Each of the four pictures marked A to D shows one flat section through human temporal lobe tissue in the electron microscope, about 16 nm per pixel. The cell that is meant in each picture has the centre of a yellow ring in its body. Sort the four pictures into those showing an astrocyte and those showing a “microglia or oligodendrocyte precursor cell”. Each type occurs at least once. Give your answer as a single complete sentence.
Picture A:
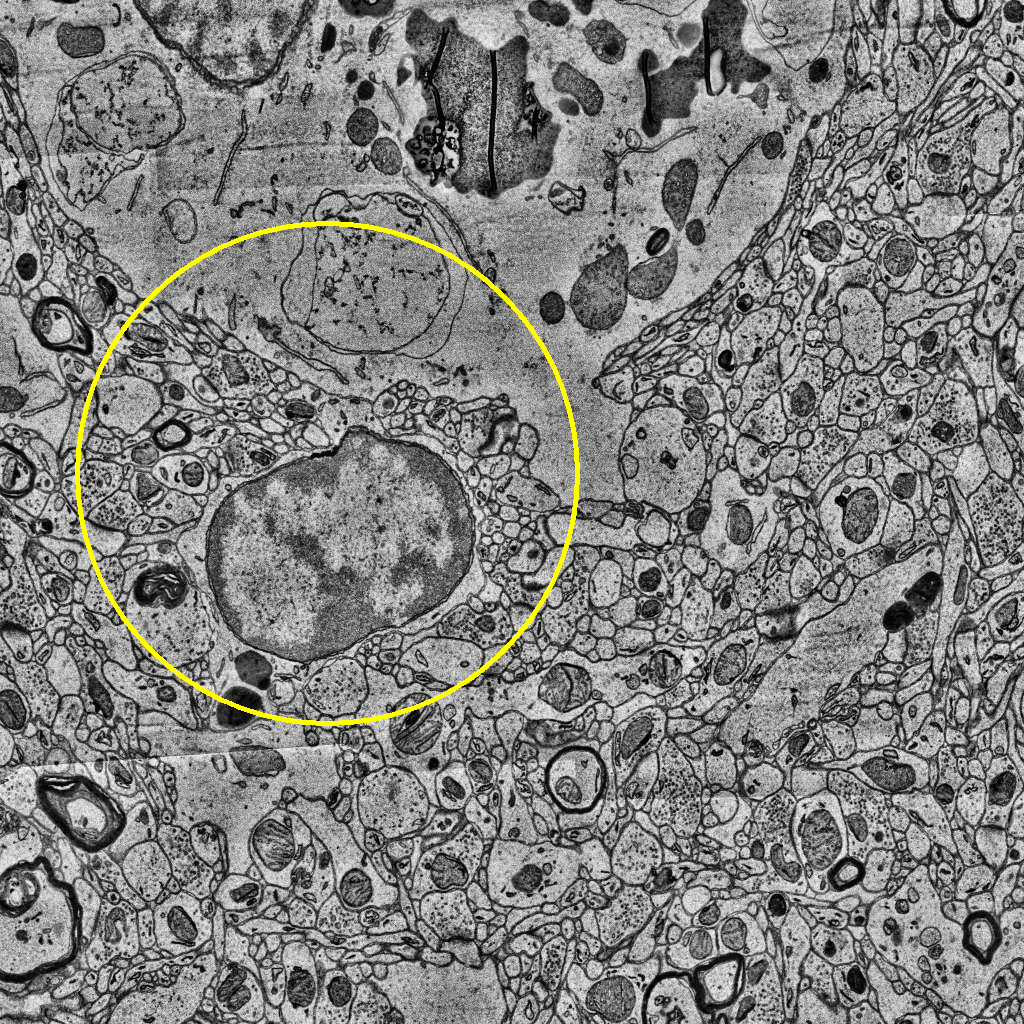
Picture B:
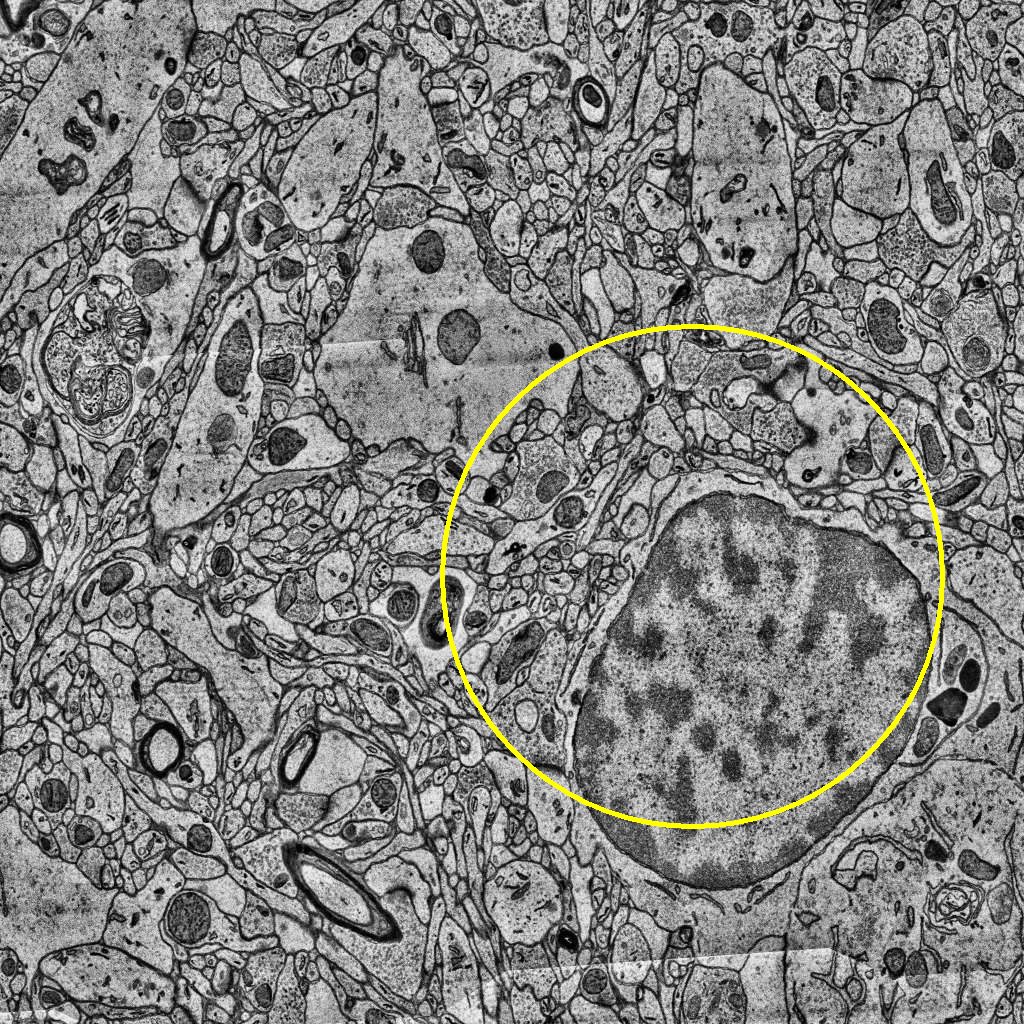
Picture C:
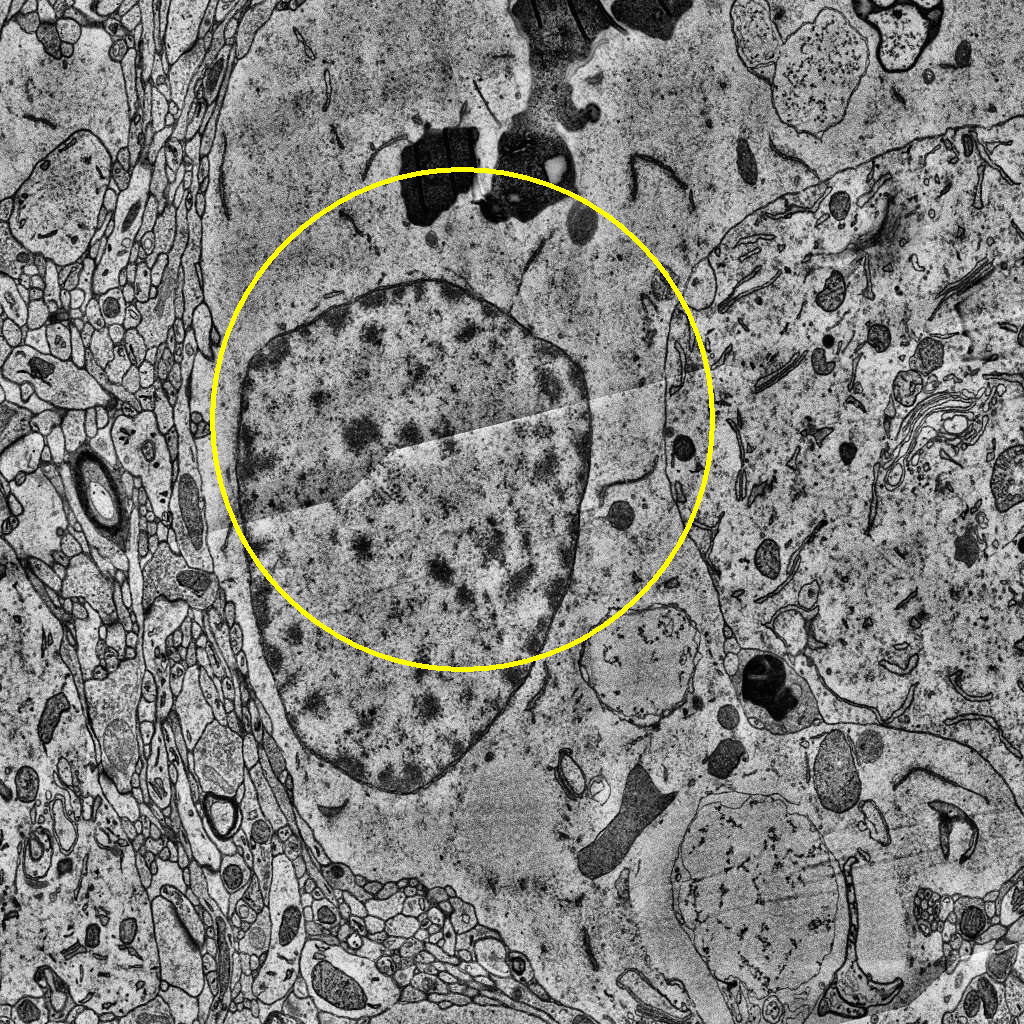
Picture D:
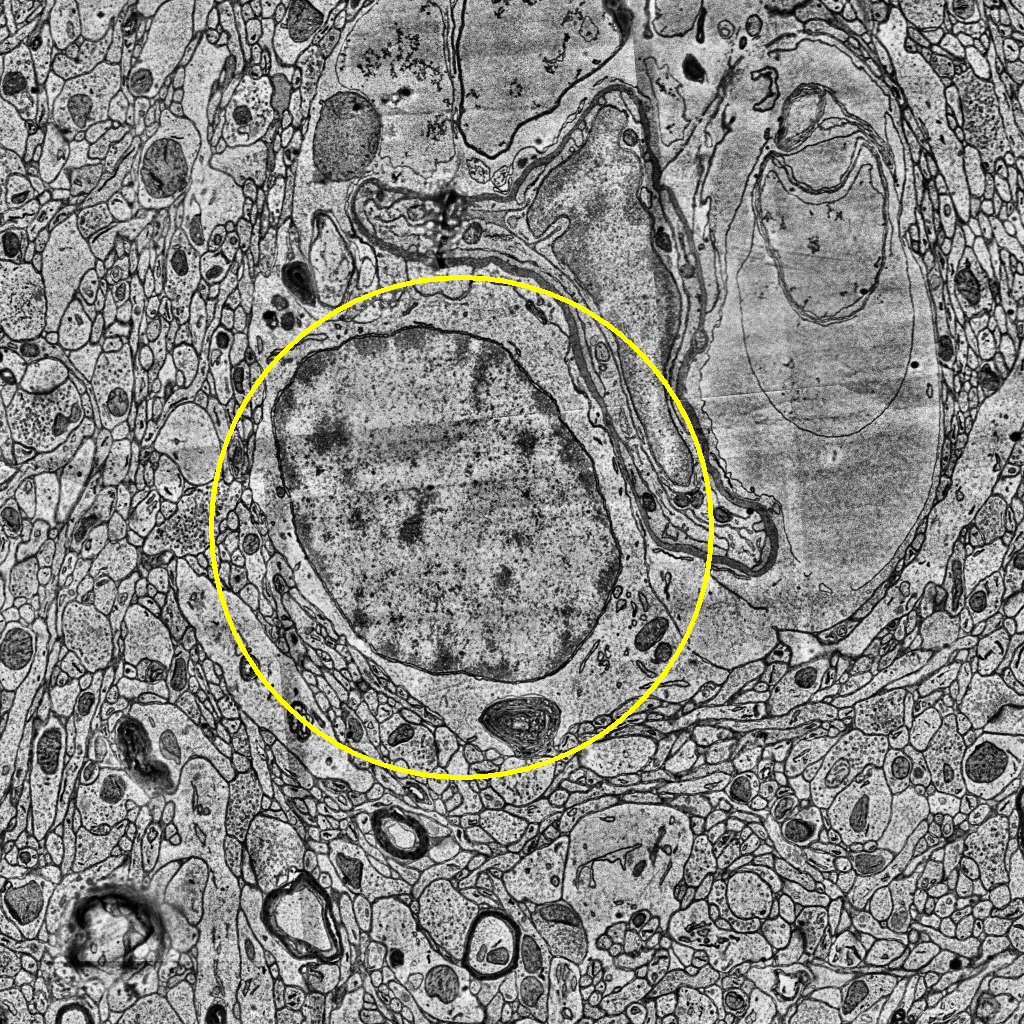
Picture C shows an astrocyte, and pictures A, B and D show “microglia or oligodendrocyte precursor cells”.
